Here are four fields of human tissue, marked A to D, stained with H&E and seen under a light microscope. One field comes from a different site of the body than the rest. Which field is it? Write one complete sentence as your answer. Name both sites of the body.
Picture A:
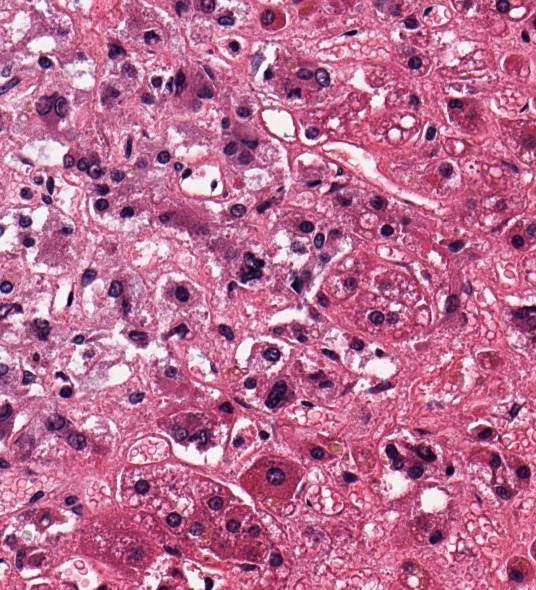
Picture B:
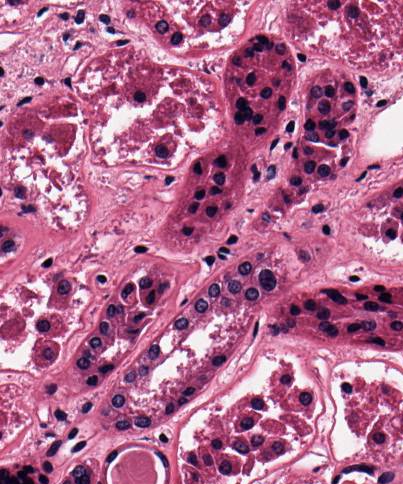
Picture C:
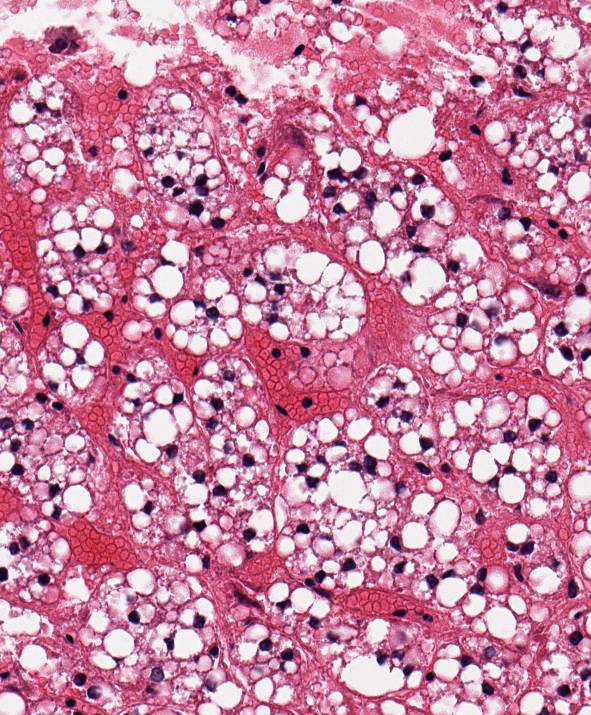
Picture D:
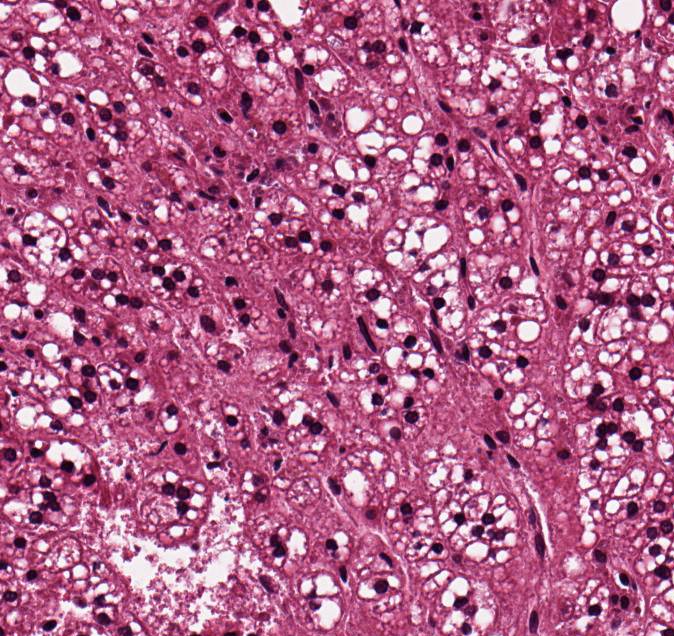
Unlike the rest, which come from the adrenal gland, picture B comes from the renal cortex.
